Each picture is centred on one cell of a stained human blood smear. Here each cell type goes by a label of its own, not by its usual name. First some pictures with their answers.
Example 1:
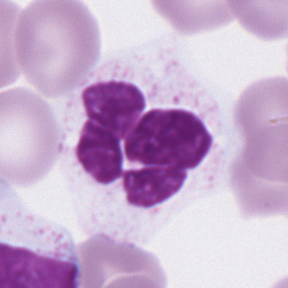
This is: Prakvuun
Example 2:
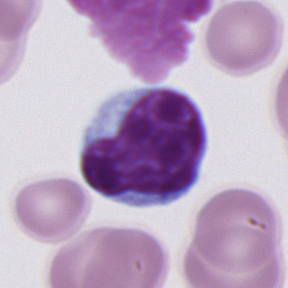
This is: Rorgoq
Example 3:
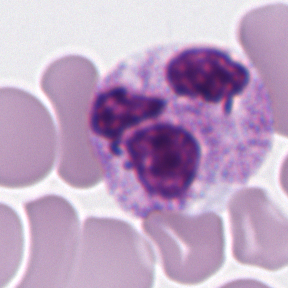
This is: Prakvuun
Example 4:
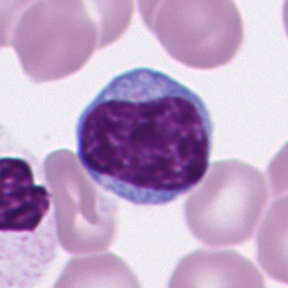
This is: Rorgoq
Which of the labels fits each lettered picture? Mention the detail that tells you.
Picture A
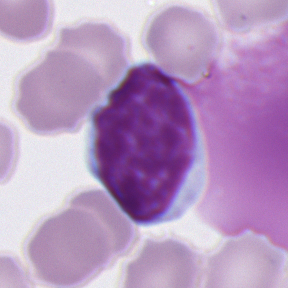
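Rorgoq. Evidence: The cytoplasm is a scant thin rim around the nucleus.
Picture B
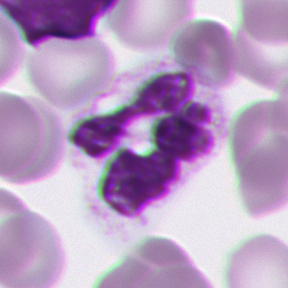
Prakvuun. Evidence: The cytoplasm is very pale and almost colourless around the lobes.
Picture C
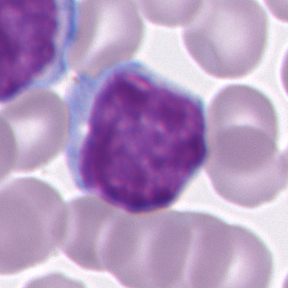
Rorgoq. Evidence: The cytoplasm is a scant rim of pale blue.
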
